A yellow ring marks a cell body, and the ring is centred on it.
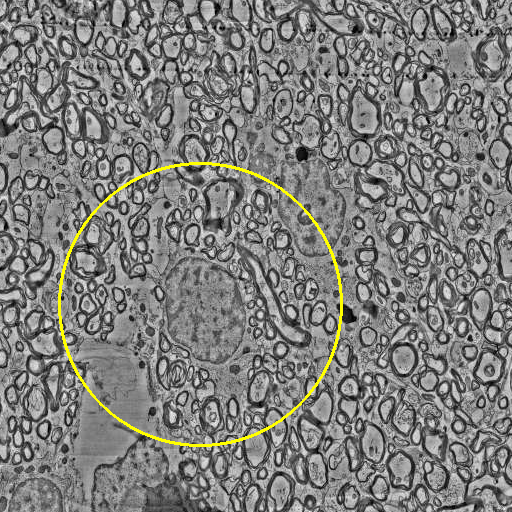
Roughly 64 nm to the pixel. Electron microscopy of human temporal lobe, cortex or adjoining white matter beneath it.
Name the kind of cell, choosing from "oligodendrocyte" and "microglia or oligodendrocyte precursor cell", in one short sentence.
The marked cell body belongs to an oligodendrocyte.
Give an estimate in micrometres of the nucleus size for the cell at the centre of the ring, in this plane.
In this plane the nucleus measures roughly 7 by 5 micrometres.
